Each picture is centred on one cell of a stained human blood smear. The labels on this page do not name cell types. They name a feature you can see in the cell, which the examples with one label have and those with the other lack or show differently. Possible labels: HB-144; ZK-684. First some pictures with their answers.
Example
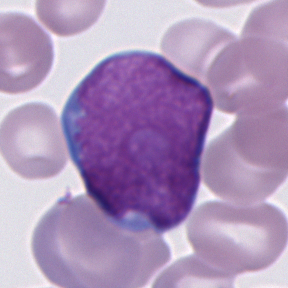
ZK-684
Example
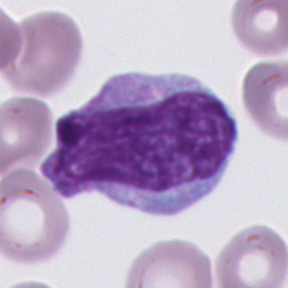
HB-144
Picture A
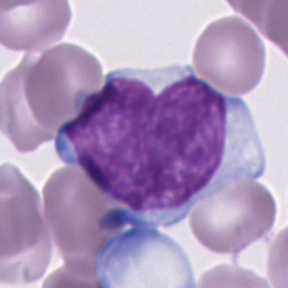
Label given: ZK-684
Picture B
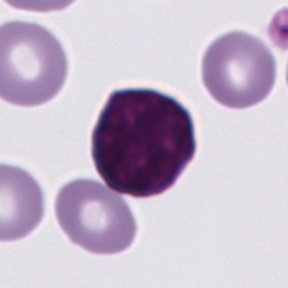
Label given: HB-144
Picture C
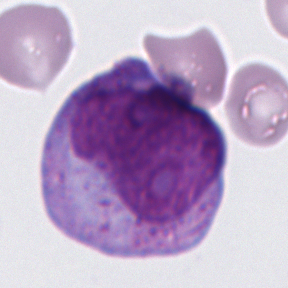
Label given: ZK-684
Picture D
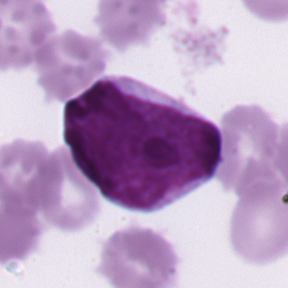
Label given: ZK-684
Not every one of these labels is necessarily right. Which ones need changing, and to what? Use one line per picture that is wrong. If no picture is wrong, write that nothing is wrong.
A: change ZK-684 to HB-144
